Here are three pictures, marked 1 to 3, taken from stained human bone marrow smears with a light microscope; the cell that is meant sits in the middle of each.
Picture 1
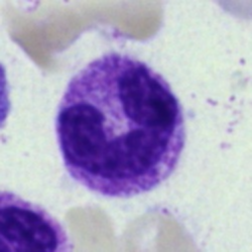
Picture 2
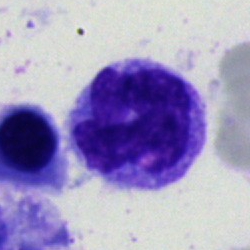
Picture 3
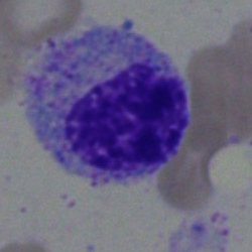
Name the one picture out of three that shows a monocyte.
2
